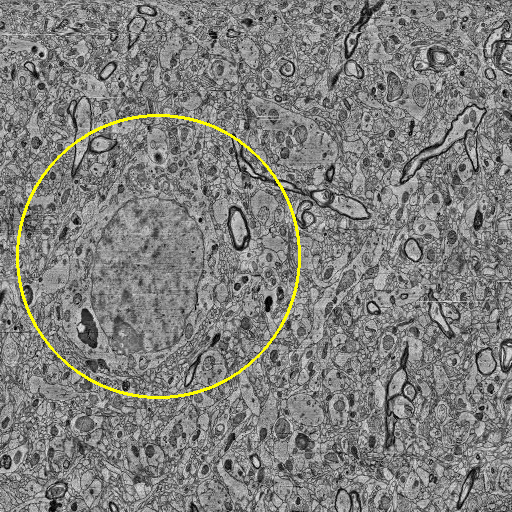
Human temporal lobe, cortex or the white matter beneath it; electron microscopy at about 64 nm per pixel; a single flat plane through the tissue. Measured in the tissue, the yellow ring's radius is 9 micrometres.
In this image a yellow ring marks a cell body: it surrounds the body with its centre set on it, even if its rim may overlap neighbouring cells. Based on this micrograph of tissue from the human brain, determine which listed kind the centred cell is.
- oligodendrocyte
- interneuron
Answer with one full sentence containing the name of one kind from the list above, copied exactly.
It is an interneuron whose body the yellow ring encloses at its centre.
